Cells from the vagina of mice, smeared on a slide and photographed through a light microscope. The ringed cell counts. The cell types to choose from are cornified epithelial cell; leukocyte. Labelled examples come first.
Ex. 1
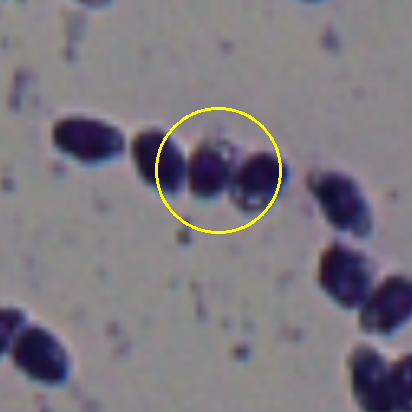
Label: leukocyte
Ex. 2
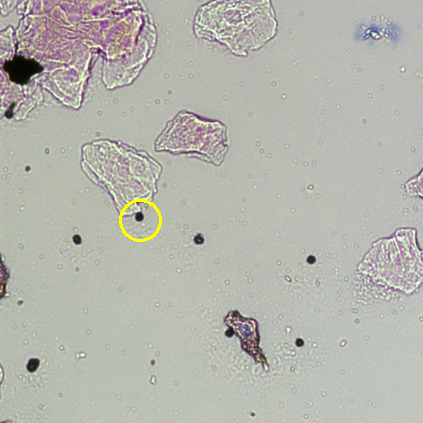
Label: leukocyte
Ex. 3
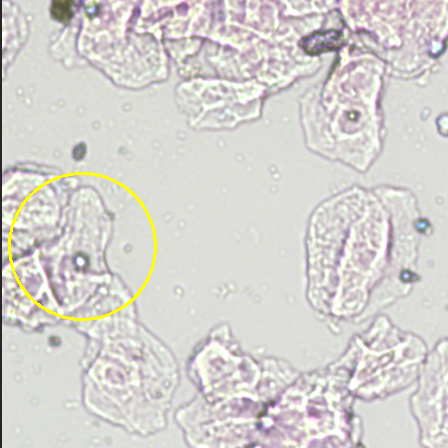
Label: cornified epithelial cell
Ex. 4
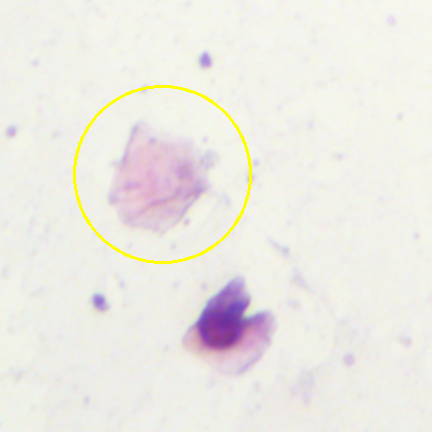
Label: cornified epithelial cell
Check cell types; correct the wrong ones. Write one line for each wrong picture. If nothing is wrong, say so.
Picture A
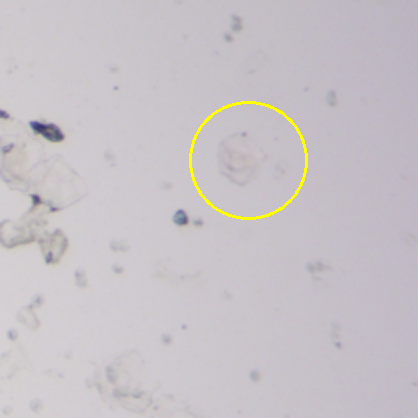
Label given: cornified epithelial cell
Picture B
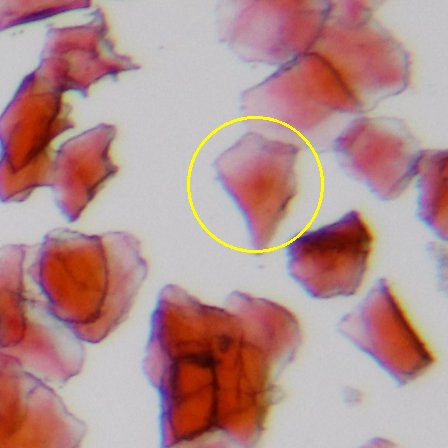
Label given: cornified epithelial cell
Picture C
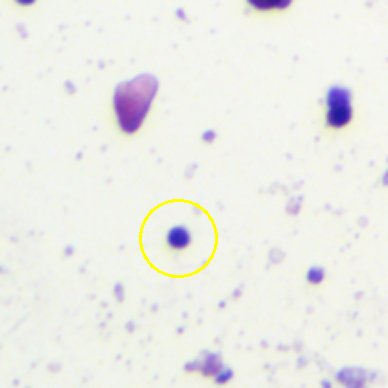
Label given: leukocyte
All correct.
